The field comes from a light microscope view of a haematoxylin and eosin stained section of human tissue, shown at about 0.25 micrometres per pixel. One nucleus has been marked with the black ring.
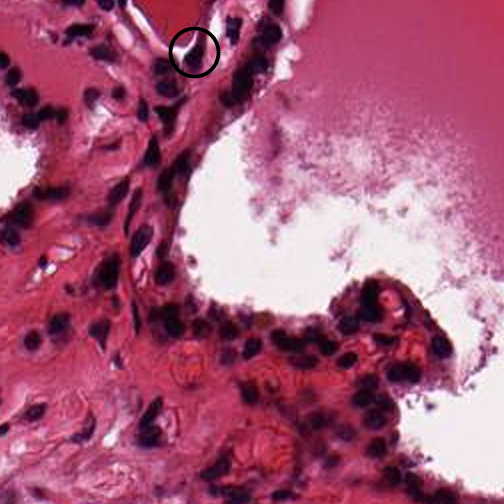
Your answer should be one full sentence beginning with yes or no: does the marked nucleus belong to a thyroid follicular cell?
Yes, in this field of view the marked nucleus belongs to a thyroid follicular cell.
